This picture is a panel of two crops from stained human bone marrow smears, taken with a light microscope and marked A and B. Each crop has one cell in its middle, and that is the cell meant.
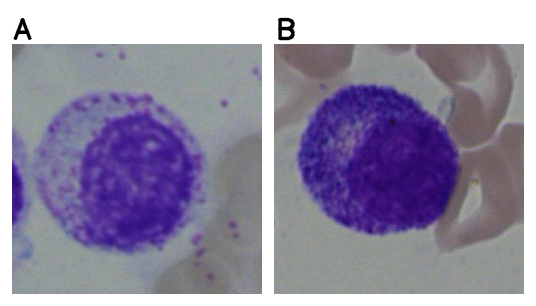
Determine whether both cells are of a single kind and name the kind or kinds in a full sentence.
Yes, in the two crops, myelocytes are the cells at the centre.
